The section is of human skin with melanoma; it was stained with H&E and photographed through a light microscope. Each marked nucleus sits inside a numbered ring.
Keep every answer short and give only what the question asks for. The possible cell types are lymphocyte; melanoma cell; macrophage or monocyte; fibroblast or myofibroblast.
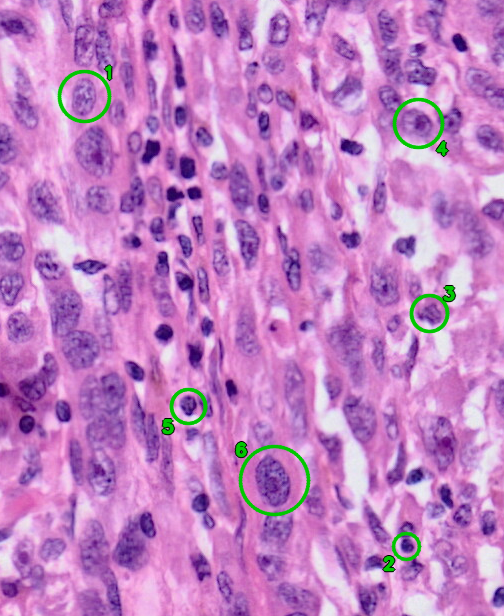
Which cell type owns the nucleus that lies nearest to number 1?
macrophage or monocyte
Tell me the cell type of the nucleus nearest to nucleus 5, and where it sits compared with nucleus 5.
a lymphocyte to the right of nucleus 5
